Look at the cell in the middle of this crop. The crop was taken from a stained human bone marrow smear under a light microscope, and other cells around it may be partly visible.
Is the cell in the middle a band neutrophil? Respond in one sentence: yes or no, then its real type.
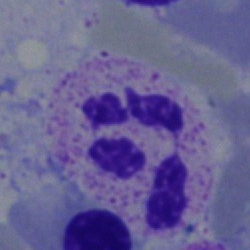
No, instead of a band neutrophil, the middle cell is a segmented neutrophil.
